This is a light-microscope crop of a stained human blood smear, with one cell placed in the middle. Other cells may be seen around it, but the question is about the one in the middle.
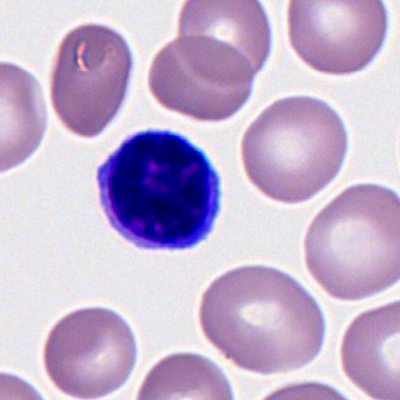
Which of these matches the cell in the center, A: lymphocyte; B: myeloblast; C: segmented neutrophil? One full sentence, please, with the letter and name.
The central cell in this crop is a lymphocyte, so the correct choice is option A.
